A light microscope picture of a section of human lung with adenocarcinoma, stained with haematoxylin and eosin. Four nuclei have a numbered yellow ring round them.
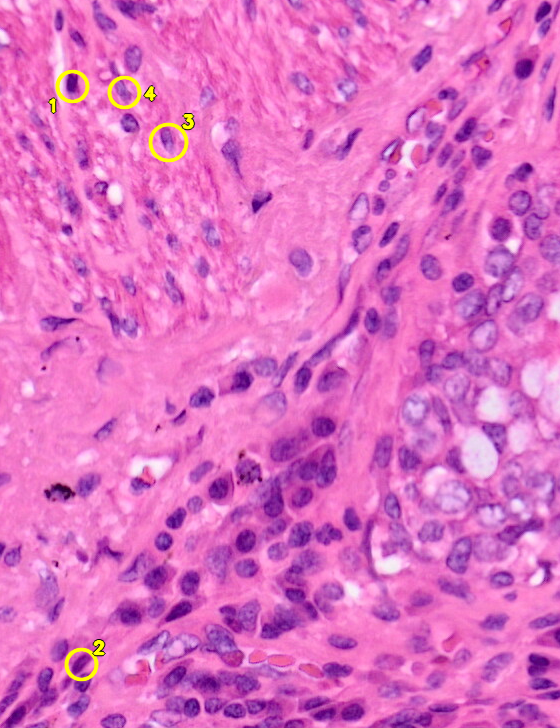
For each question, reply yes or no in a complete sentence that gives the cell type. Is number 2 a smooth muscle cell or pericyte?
No, cell 2 is a plasma cell; it is not a smooth muscle cell or pericyte.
